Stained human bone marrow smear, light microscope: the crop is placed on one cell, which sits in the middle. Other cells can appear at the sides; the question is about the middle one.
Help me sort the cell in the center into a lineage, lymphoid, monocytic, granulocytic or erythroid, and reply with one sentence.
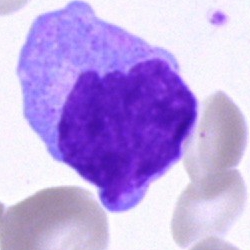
The centered cell here is of monocytic lineage.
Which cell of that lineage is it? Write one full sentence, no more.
Among the cells in view, the one in the middle is a monocyte.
